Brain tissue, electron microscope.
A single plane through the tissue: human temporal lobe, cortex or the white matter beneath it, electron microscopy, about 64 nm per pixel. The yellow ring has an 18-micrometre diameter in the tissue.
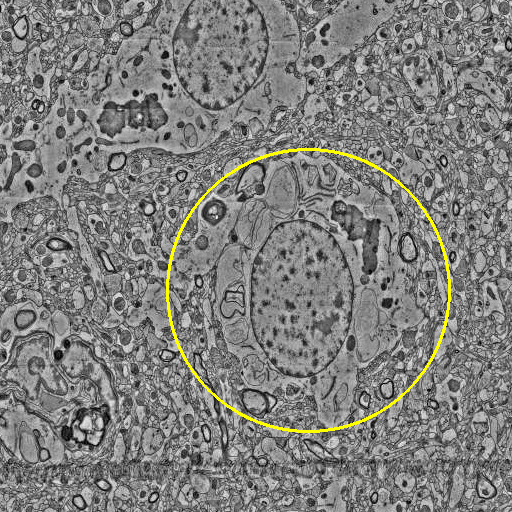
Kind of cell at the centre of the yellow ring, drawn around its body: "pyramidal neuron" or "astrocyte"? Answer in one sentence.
The ring's centre falls on an astrocyte.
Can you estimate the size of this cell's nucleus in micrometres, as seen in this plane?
In this plane, about 10 by 7 micrometres: the nucleus is clearly longer than it is wide.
